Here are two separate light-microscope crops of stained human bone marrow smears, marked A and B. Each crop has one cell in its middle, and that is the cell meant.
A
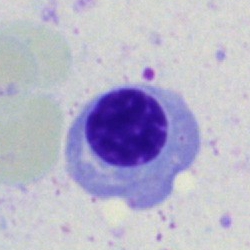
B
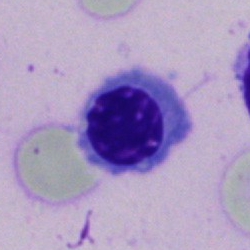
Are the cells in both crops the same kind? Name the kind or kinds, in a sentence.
Yes, the middle cells in the two crops are normoblasts.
